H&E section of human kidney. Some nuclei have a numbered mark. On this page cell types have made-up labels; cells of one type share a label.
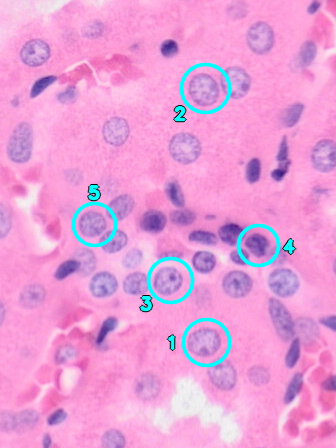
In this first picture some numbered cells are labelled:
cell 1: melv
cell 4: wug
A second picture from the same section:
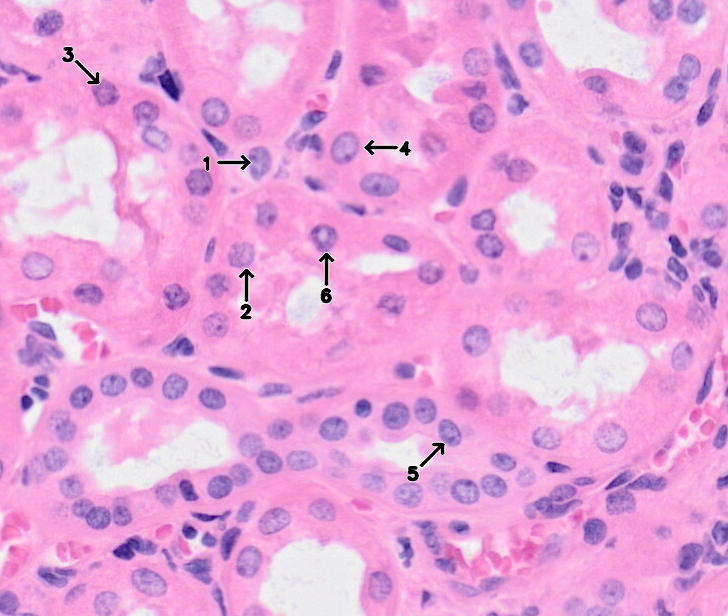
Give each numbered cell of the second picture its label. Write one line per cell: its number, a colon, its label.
1: wug
2: melv
3: melv
4: melv
5: wug
6: melv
